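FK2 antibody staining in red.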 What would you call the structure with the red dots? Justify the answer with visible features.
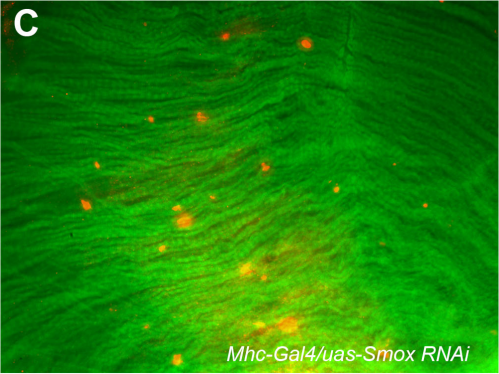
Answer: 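Many small round red-orange dots are scattered over the tissue. The dots lie among the green fibers, some clustered toward the lower part. That points to this answer: ubiquitinated protein aggregates.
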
